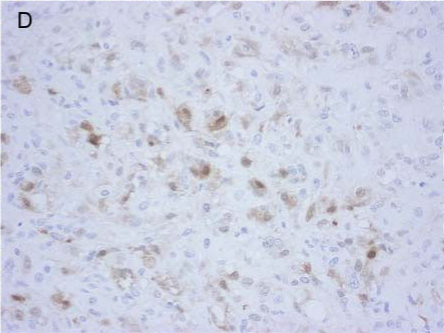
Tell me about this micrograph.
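The cells do not form glands or nests; they lie scattered in a pale background. Only some of the cells have brown cytoplasm, and these are spread in patches through the field. The unstained cells between them have similar elongated or oval nuclei.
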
